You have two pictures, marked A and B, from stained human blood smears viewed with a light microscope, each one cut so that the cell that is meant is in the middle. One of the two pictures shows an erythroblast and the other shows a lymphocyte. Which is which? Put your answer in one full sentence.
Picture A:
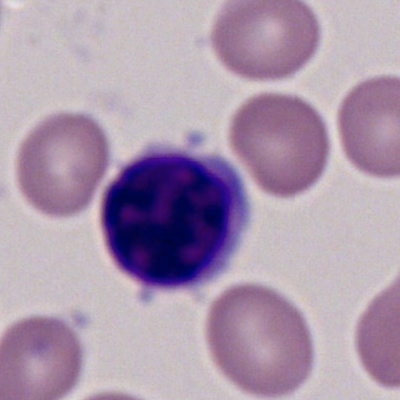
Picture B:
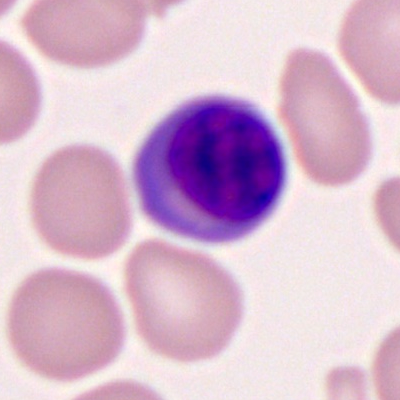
Picture A shows a lymphocyte and picture B shows an erythroblast.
